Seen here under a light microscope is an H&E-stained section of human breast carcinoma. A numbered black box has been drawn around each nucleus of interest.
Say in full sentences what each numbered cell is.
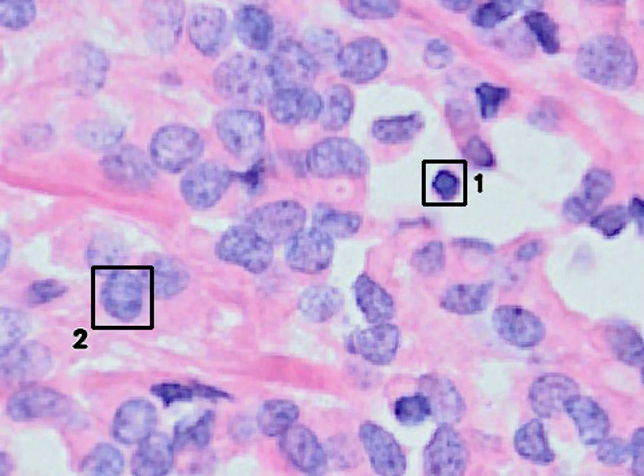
Cell 1 is a lymphocyte. Cell 2 is a carcinoma cell.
